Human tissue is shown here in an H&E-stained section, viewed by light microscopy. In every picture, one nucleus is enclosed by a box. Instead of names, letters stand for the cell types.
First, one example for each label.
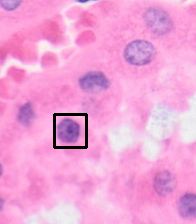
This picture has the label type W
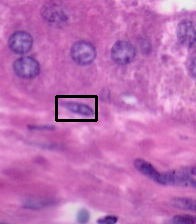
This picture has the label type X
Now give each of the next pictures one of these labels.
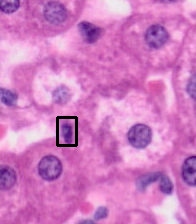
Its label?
type X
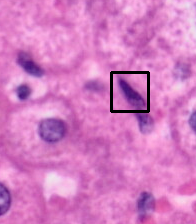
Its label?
type X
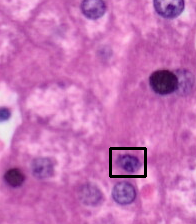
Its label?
type X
